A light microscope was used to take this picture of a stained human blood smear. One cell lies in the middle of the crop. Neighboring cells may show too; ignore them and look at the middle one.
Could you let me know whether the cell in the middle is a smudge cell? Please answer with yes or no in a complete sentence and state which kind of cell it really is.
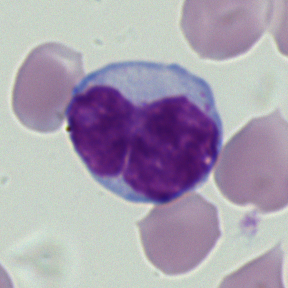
No, the cell sitting in the centre of the crop is a myeloblast, not a smudge cell.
